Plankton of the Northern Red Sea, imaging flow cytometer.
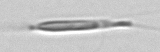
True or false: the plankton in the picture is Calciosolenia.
True.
